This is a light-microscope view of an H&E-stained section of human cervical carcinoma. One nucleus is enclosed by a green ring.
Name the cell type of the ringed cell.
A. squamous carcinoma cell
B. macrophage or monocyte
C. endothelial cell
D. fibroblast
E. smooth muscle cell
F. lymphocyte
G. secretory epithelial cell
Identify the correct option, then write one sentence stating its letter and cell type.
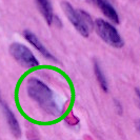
Option C is right in classifying the ringed cell as an endothelial cell.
